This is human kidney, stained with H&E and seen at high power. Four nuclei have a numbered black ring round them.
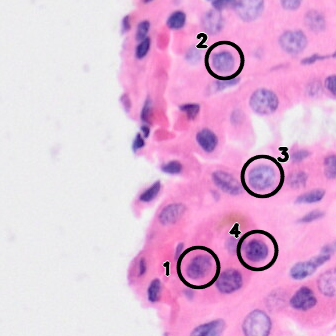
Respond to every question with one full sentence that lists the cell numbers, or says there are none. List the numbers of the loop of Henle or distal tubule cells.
The cells that have been numbered 2 and 3 are loop of Henle or distal tubule cells.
